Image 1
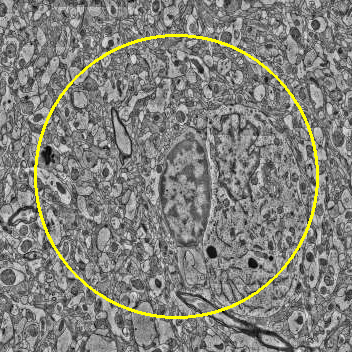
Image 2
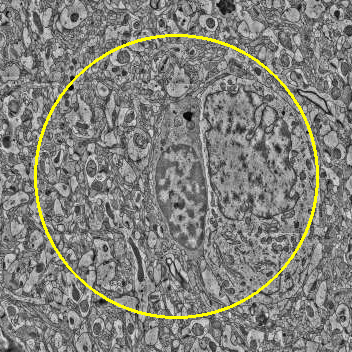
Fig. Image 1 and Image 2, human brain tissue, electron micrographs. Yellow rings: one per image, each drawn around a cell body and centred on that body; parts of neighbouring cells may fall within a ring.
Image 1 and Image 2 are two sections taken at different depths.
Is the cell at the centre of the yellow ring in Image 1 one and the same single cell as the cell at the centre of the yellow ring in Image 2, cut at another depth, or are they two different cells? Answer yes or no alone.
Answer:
yes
